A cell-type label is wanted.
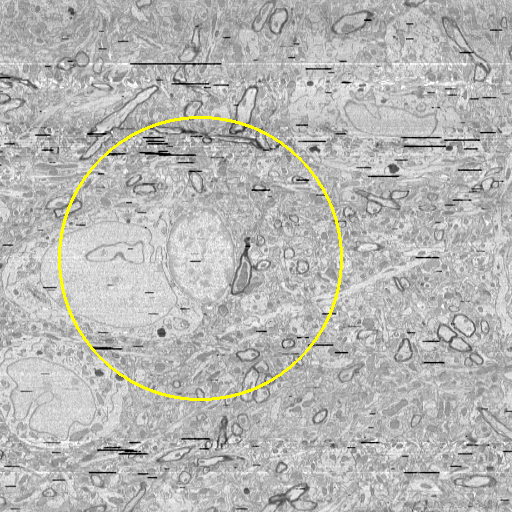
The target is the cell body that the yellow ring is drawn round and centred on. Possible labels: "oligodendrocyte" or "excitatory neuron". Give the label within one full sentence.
Of the labels offered, the cell in the middle of the yellow ring is an oligodendrocyte.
